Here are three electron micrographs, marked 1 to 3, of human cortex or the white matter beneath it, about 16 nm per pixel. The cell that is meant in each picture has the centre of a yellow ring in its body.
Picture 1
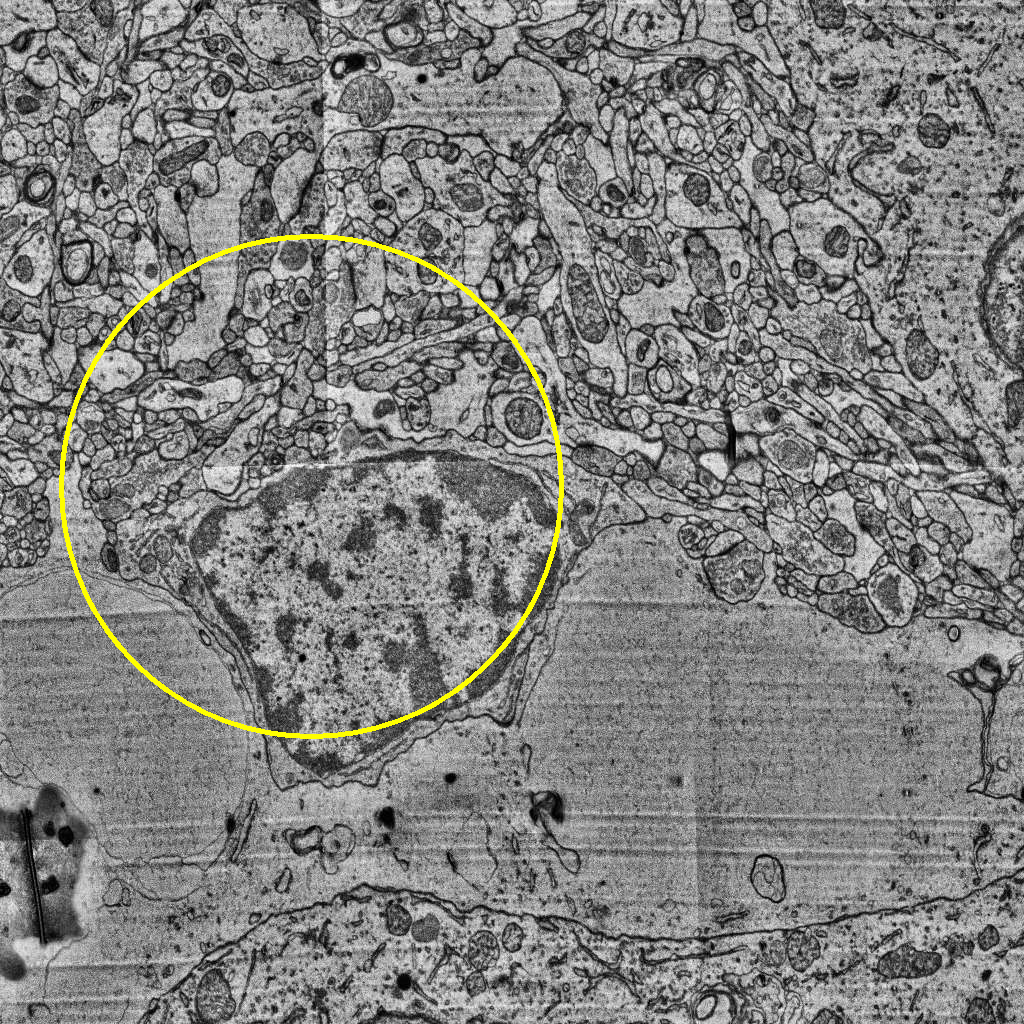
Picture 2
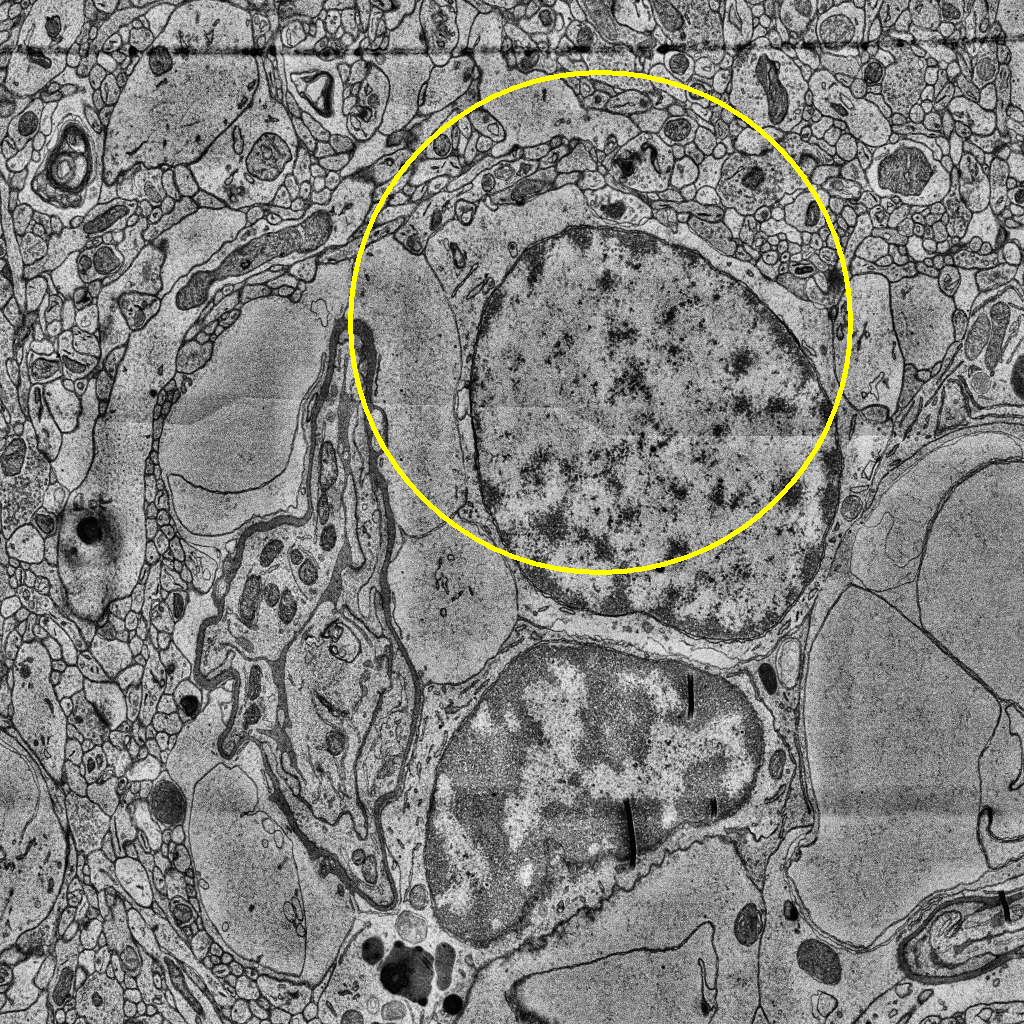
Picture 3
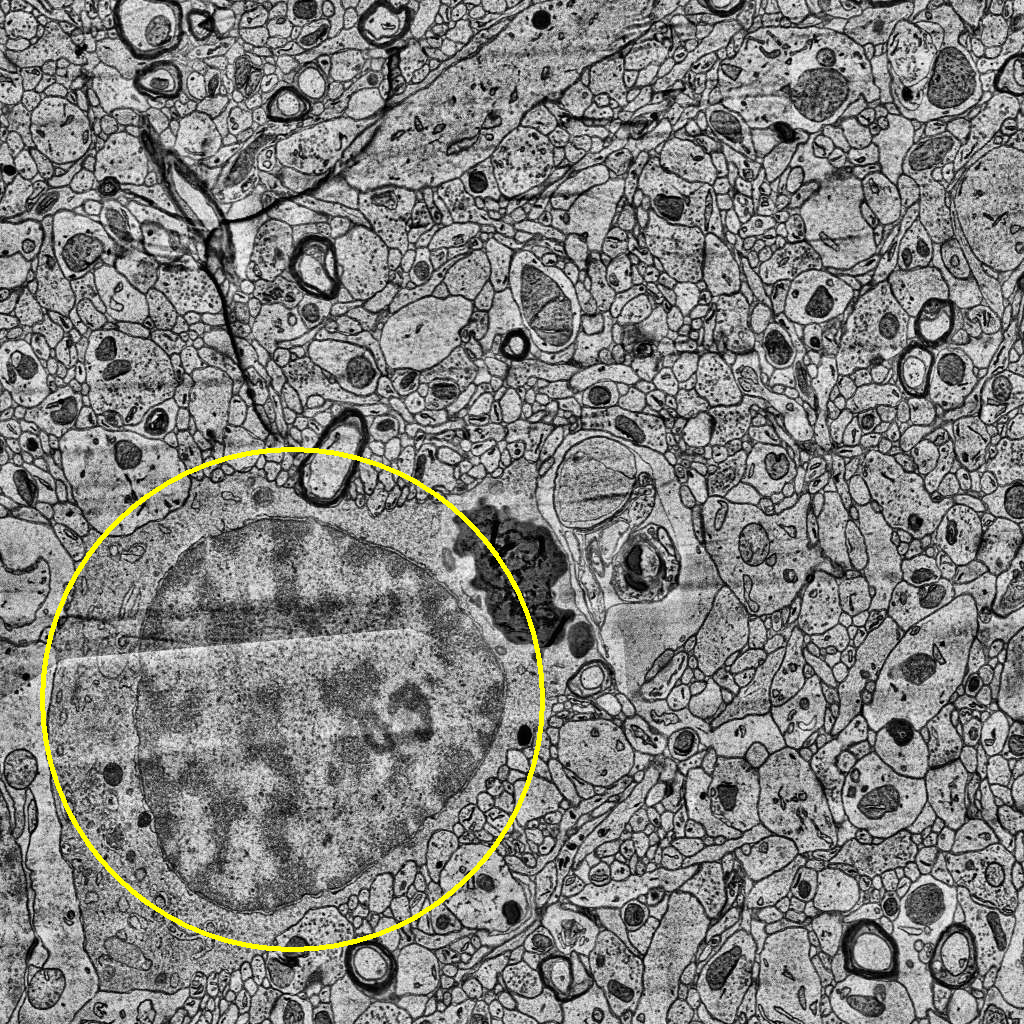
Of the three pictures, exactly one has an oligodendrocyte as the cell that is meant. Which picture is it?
Picture 3 is the one that shows the oligodendrocyte.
